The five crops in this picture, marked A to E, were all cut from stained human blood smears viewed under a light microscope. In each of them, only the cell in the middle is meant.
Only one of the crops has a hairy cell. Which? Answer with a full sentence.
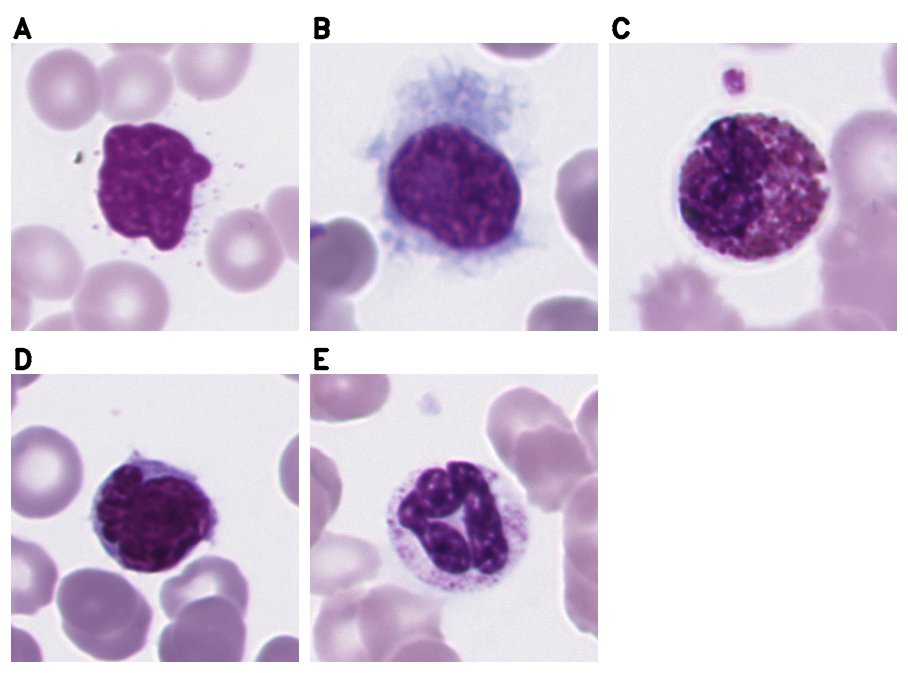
Crop B is the one depicting a hairy cell.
